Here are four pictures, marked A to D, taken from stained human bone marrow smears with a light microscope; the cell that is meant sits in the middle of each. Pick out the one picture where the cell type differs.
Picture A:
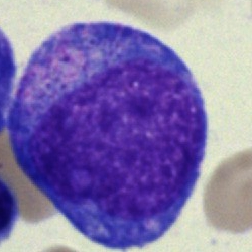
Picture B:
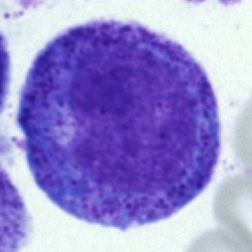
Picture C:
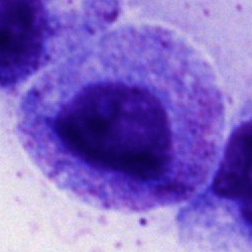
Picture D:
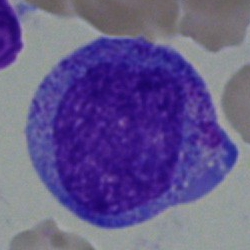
A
